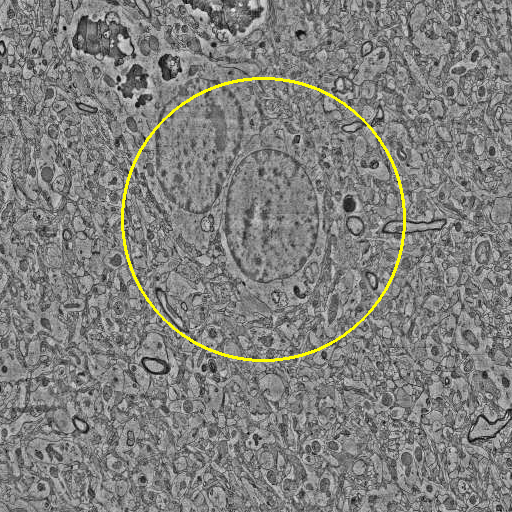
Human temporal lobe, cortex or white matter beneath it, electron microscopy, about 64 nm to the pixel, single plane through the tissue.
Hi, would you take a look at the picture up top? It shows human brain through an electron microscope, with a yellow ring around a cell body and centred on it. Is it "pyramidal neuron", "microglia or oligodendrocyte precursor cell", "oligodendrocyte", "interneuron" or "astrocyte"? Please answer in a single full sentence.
The best fit for the cell in the middle of the ring is an astrocyte, I reckon.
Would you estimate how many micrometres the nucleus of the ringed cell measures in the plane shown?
Approximately 9 by 6 micrometers in this plane.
